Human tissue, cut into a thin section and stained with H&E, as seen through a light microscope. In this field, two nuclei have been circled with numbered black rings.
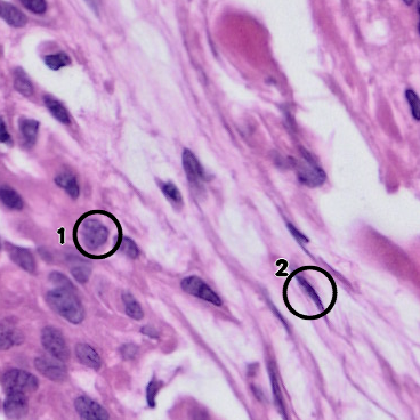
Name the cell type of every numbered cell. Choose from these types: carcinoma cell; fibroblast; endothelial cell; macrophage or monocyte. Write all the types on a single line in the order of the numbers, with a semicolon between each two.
macrophage or monocyte; fibroblast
